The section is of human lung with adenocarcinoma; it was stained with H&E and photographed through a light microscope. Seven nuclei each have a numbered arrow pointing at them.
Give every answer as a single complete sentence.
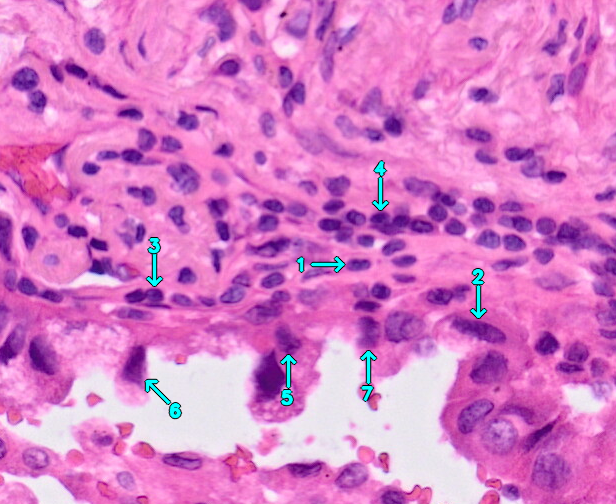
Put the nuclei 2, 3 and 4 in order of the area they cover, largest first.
The nuclei rank 2, 3, 4, from largest to smallest.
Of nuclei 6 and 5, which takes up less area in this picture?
With nucleus 6 about 1.5 times its size, nucleus 5 is the smaller of the two.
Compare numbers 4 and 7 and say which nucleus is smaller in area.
The smaller nucleus is 4, and 7 covers roughly 2.5 times its area.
